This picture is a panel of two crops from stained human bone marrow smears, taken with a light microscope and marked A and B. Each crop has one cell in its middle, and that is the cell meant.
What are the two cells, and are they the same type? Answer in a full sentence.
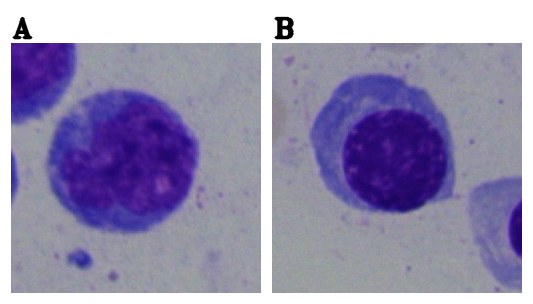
No, in fact crop A shows a blast, and crop B shows an erythroblast.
